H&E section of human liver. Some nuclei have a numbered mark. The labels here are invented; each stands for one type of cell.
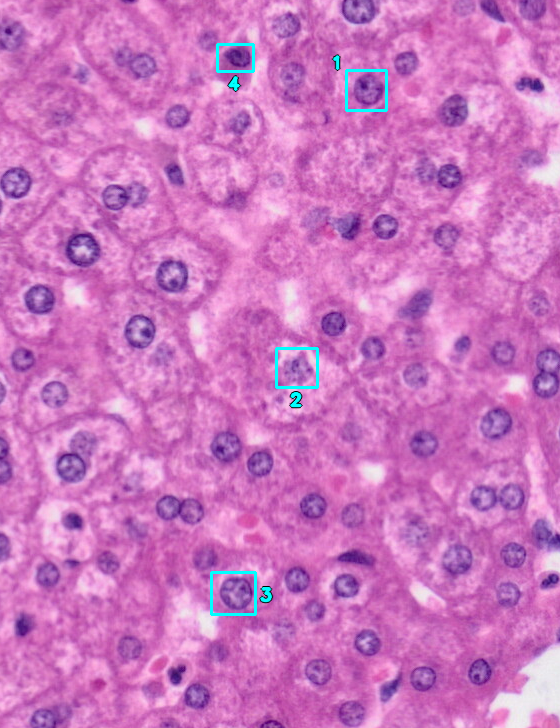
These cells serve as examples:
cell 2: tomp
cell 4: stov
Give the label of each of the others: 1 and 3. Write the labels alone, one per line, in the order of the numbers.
tomp
tomp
